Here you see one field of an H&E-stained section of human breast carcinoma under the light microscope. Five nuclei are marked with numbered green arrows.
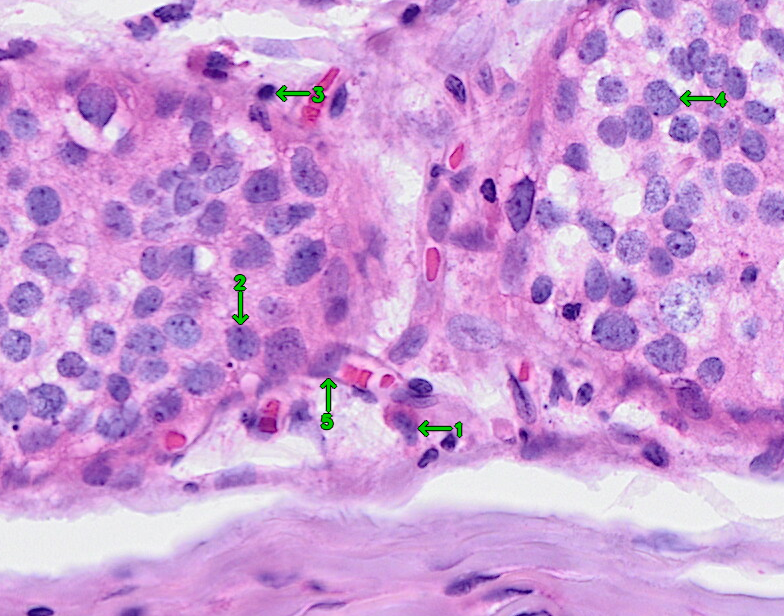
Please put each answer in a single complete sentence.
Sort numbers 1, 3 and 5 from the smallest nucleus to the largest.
By area, going up from the smallest, they rank 3, 1, 5.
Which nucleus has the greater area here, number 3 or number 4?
Number 4 is larger; its area is about 2.5 times that of number 3.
